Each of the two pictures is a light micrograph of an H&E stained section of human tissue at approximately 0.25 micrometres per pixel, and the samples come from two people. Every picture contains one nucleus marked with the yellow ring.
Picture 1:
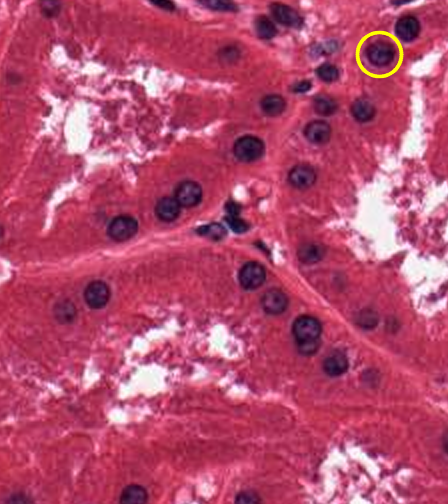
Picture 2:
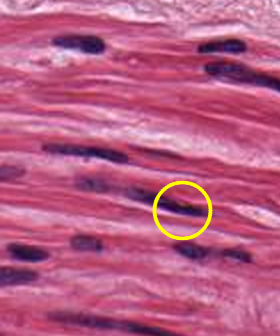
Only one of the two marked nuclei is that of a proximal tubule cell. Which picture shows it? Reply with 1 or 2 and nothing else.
1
